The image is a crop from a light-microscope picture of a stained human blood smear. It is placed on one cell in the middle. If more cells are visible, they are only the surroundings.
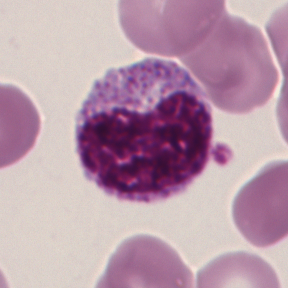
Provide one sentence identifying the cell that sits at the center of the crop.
The crop's centre is taken up by a metamyelocyte.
